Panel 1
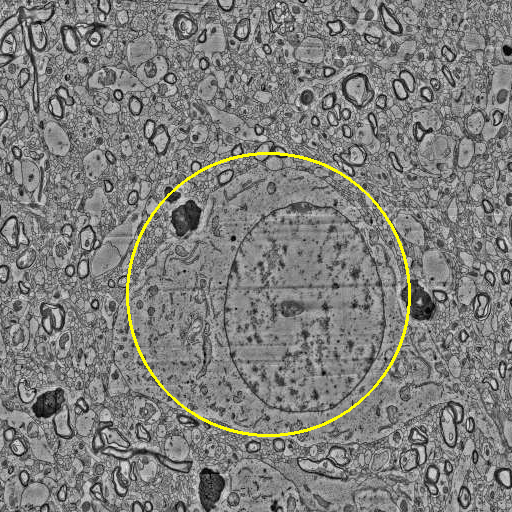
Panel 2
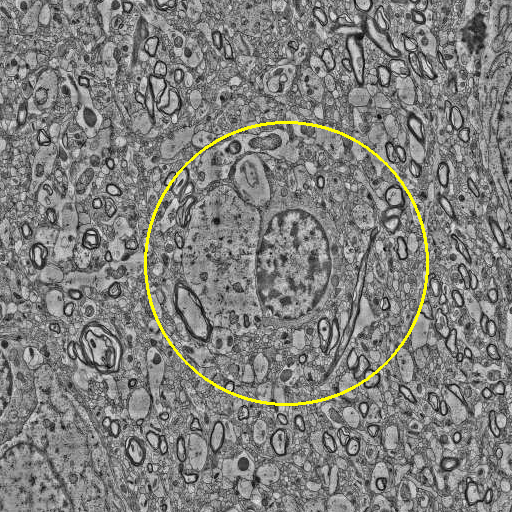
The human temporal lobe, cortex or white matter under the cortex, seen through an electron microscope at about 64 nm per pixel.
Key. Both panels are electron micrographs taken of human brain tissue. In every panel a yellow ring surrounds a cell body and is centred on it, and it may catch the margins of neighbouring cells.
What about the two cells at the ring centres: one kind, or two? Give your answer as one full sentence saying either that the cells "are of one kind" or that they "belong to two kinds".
Across Panels 1 and 2, the two cells at the ring centres belong to two kinds.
